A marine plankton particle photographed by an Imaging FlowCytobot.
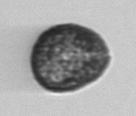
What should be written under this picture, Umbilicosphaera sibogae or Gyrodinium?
Umbilicosphaera sibogae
